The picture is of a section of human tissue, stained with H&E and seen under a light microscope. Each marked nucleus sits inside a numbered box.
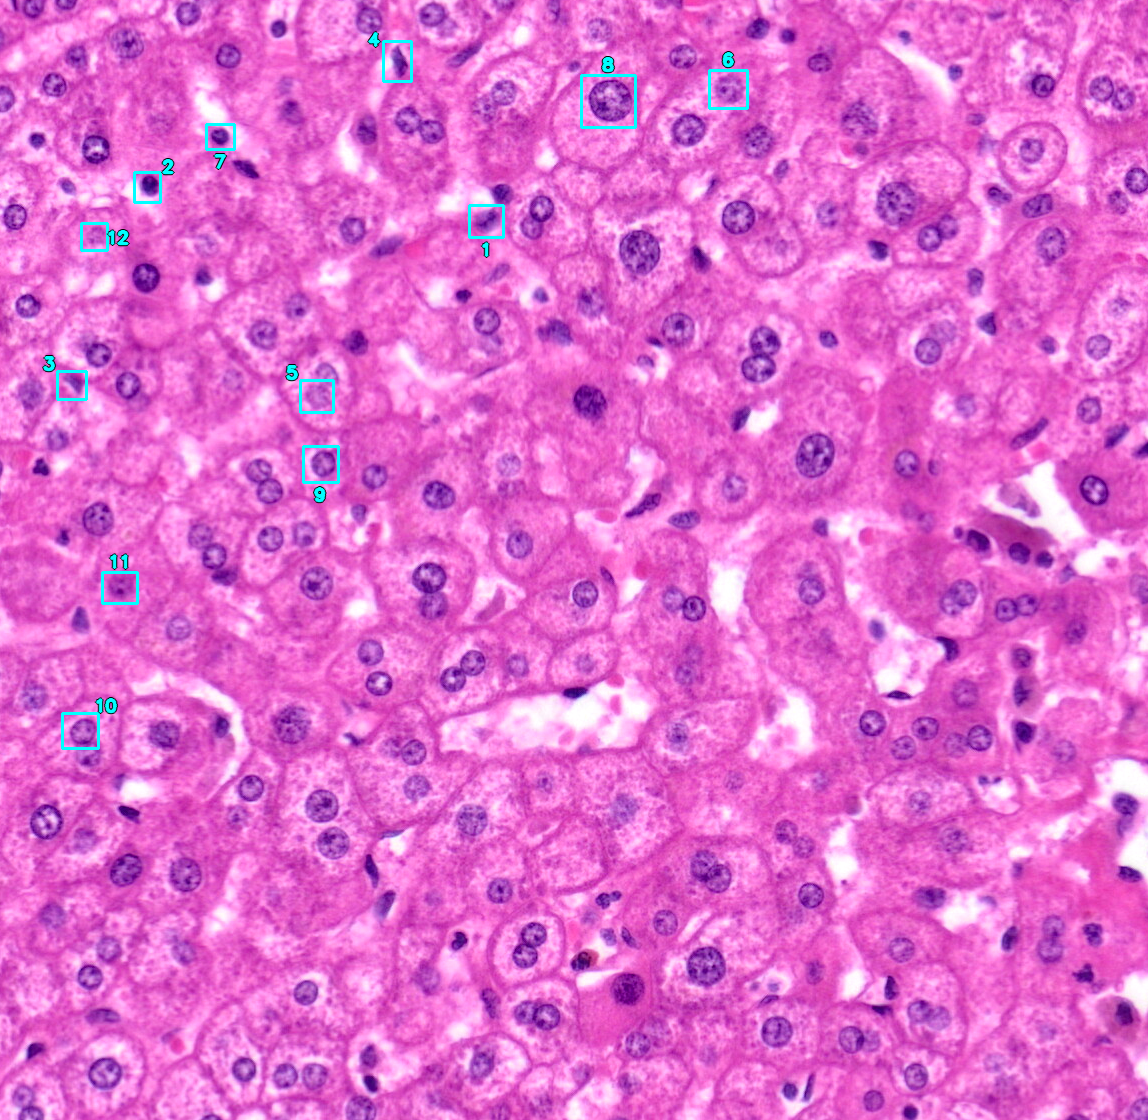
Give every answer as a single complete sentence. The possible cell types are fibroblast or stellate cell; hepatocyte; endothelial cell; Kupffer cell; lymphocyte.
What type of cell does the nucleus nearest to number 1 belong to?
The nearest nucleus to number 1 belongs to a fibroblast or stellate cell.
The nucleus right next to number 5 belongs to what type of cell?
Number 5 lies closest to the nucleus of a hepatocyte.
